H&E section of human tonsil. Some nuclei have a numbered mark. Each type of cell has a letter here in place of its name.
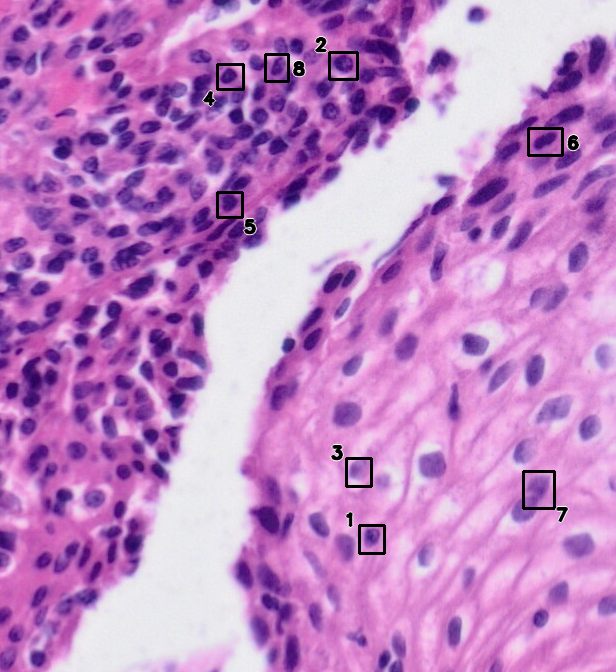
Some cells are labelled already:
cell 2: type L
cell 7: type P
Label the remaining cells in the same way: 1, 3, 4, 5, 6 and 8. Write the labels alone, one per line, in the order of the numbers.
type P
type P
type L
type L
type P
type L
